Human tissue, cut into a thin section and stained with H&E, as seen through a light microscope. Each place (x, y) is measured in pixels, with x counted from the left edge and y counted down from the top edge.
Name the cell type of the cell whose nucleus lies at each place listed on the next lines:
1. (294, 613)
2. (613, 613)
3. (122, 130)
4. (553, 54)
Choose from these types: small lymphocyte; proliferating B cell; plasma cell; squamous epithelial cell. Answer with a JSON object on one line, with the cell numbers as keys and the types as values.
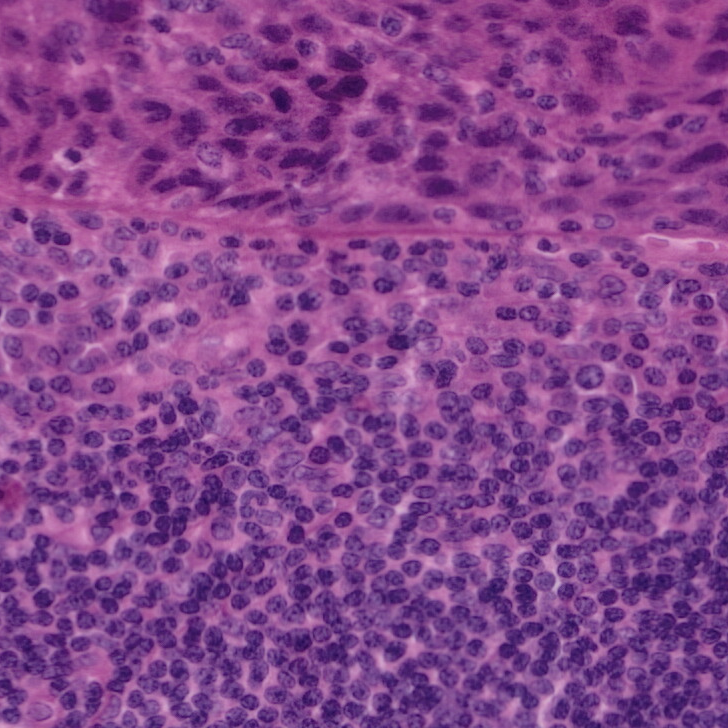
{"1": "small lymphocyte", "2": "small lymphocyte", "3": "squamous epithelial cell", "4": "squamous epithelial cell"}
